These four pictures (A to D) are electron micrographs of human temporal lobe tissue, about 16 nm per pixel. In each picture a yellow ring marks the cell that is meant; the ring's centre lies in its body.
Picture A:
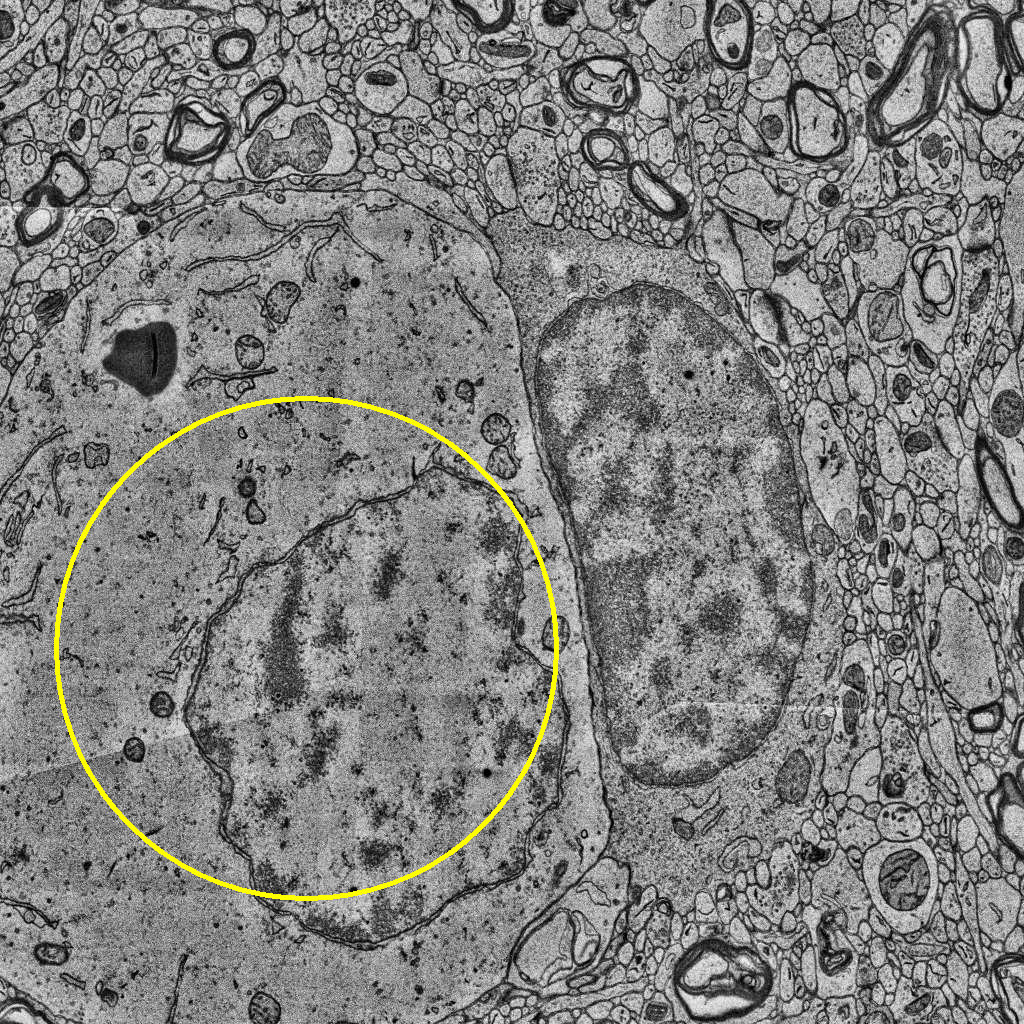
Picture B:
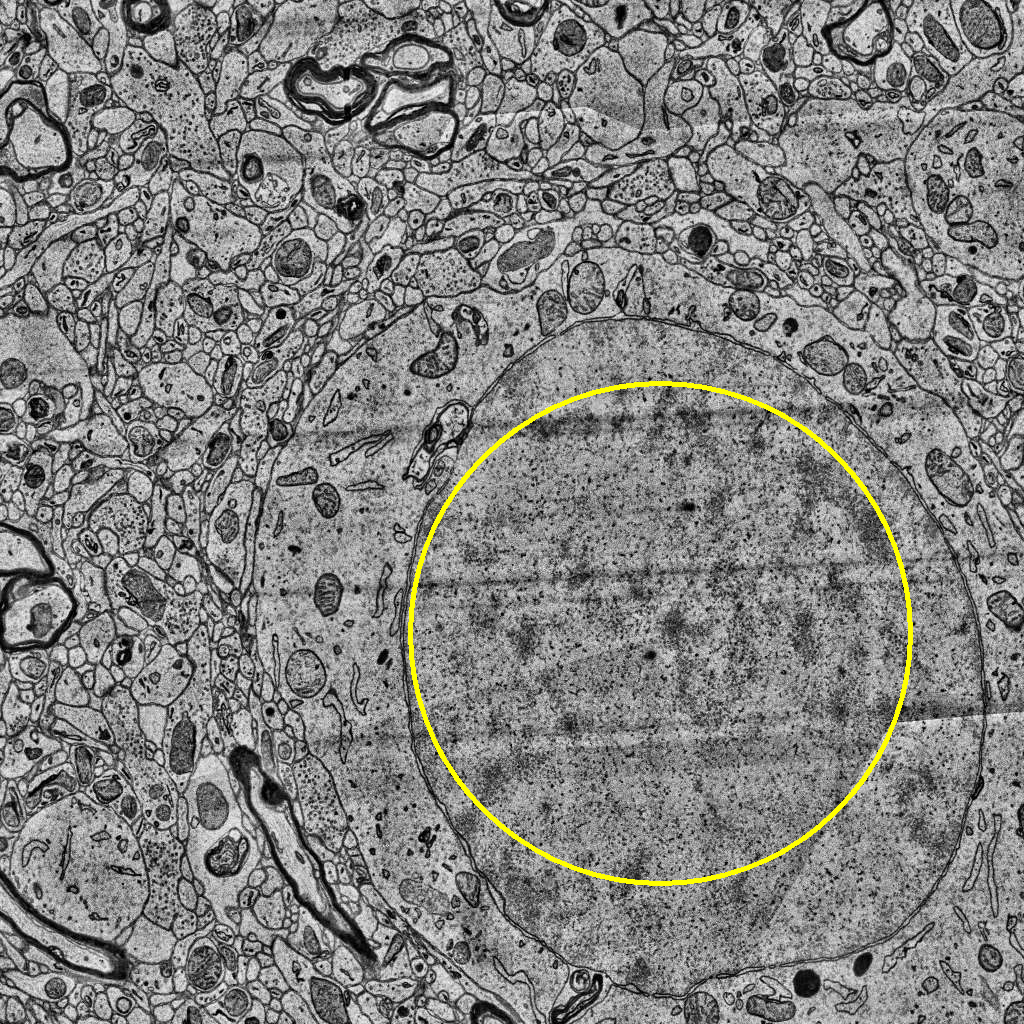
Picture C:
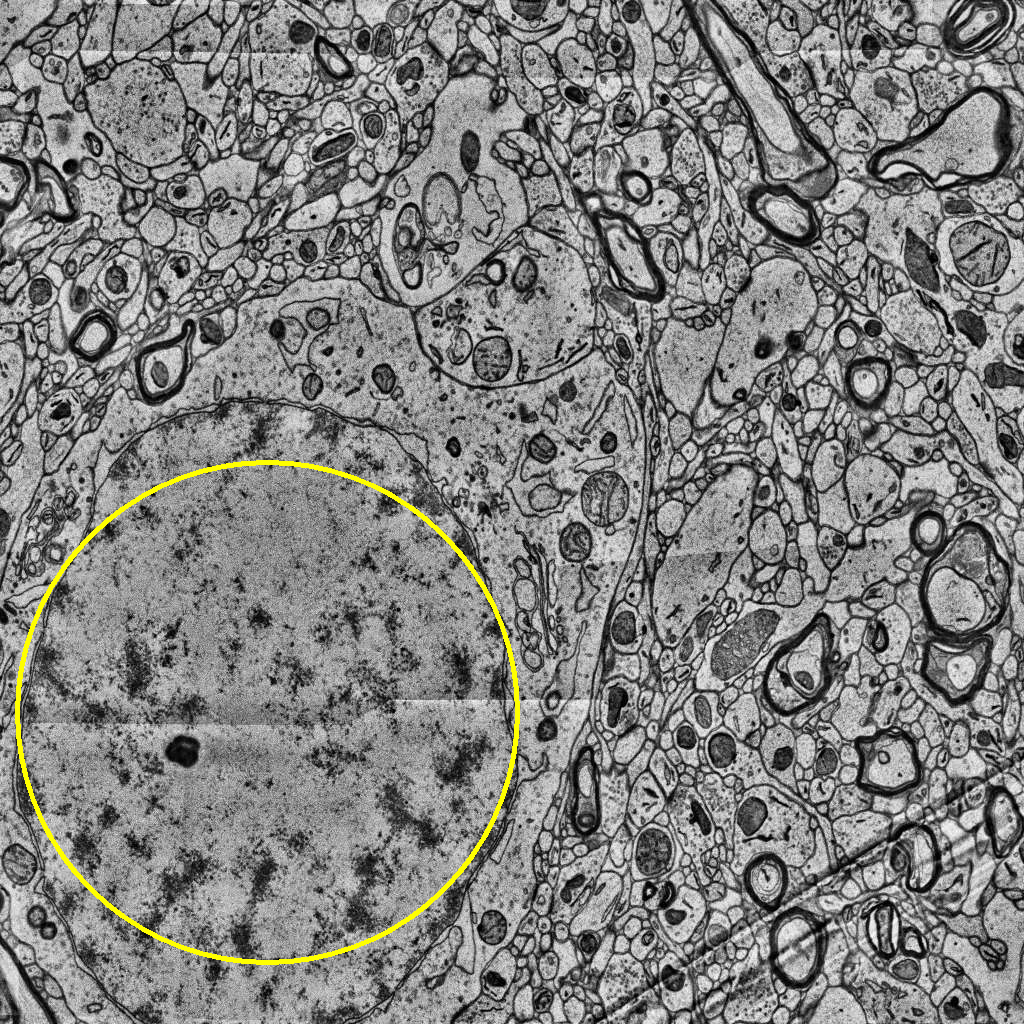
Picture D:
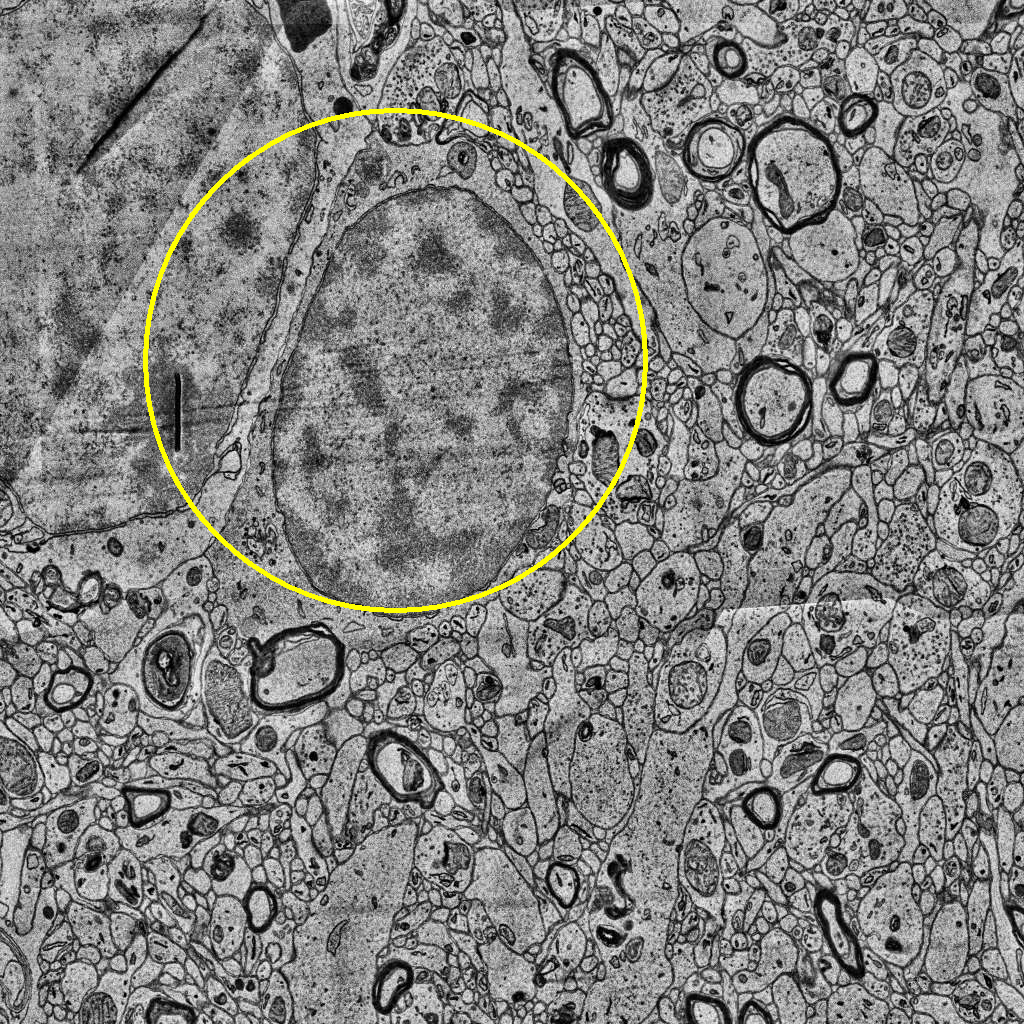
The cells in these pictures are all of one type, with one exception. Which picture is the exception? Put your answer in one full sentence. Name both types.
The different one is picture D; it shows an oligodendrocyte, whereas all the others show interneurons.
